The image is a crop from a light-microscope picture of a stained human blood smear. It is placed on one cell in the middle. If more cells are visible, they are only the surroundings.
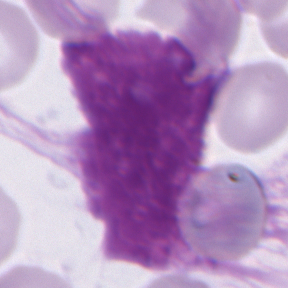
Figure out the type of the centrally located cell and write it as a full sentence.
The centrally positioned cell in the crop represents a smudge cell.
